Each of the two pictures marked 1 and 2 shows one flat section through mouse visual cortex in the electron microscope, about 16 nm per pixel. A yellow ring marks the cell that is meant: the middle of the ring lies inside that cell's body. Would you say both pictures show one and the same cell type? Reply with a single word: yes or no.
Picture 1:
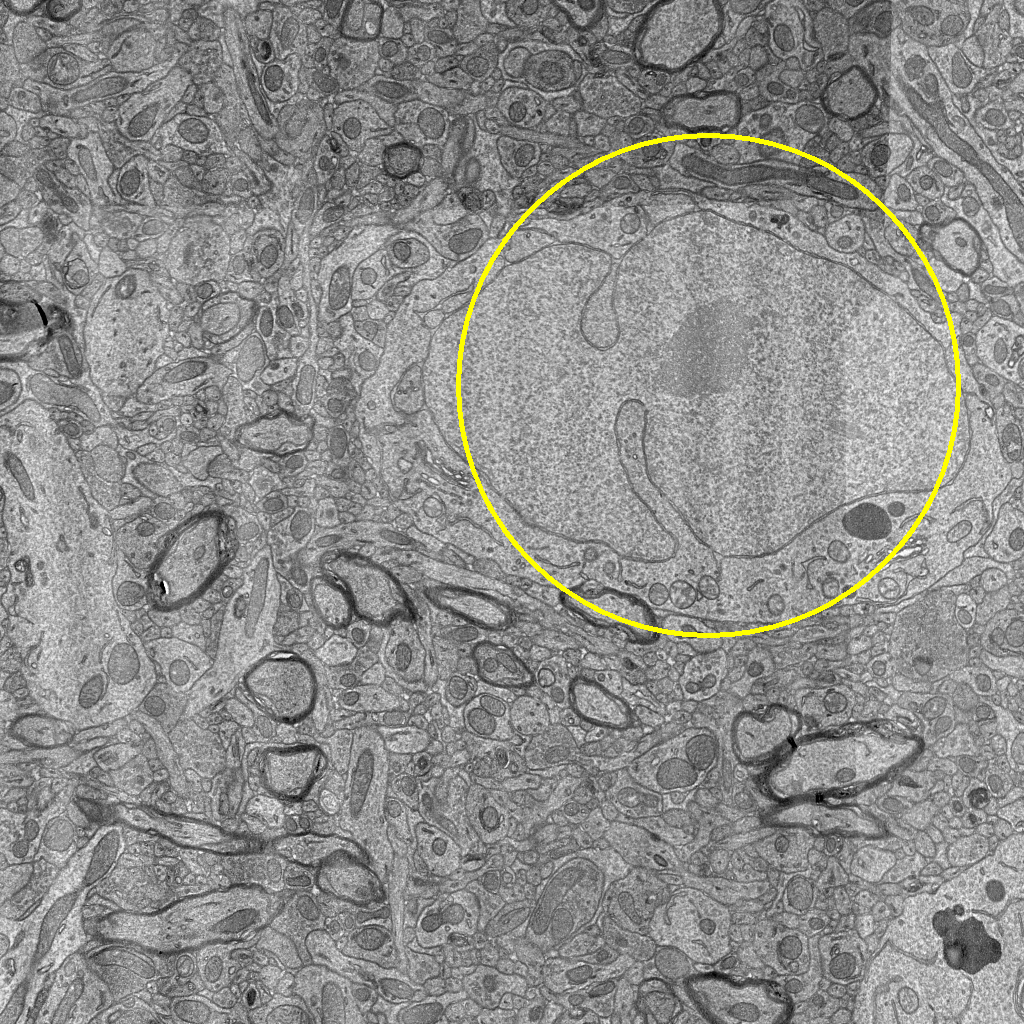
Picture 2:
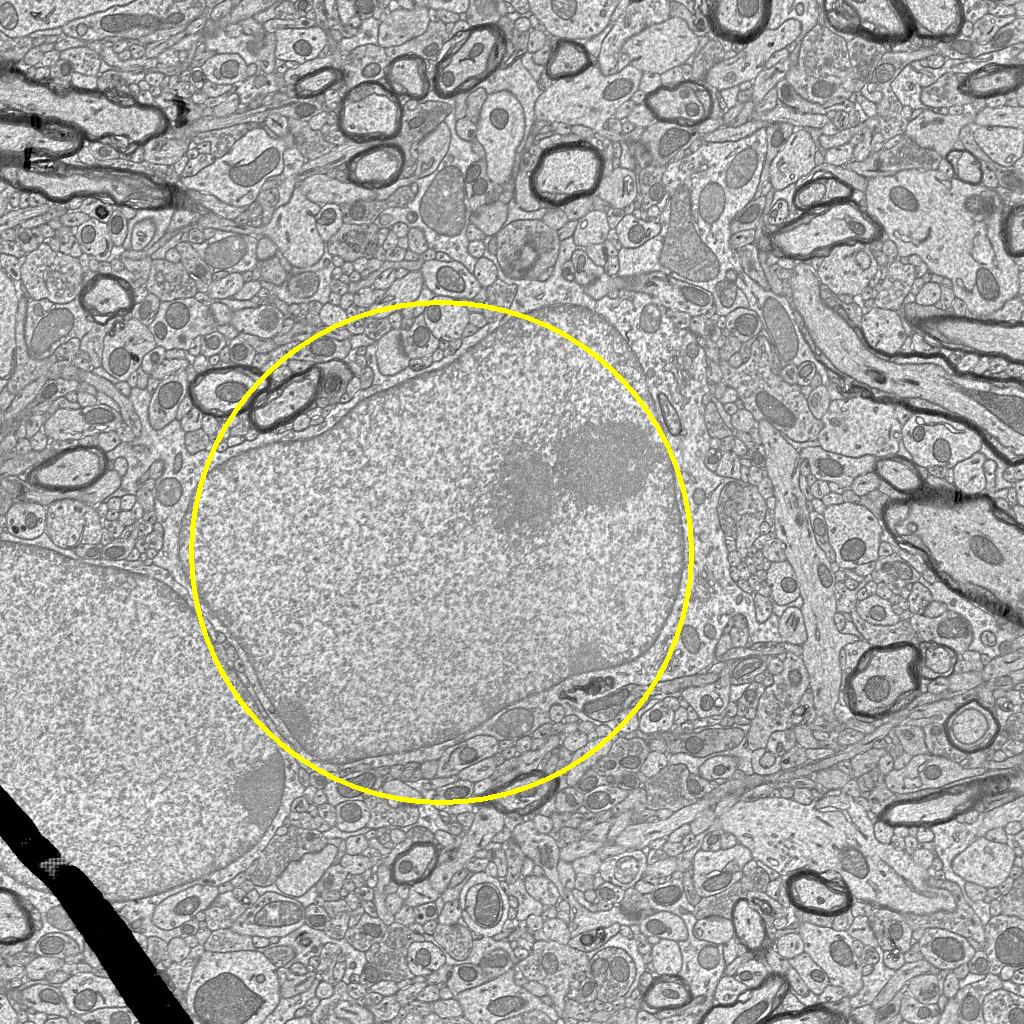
no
